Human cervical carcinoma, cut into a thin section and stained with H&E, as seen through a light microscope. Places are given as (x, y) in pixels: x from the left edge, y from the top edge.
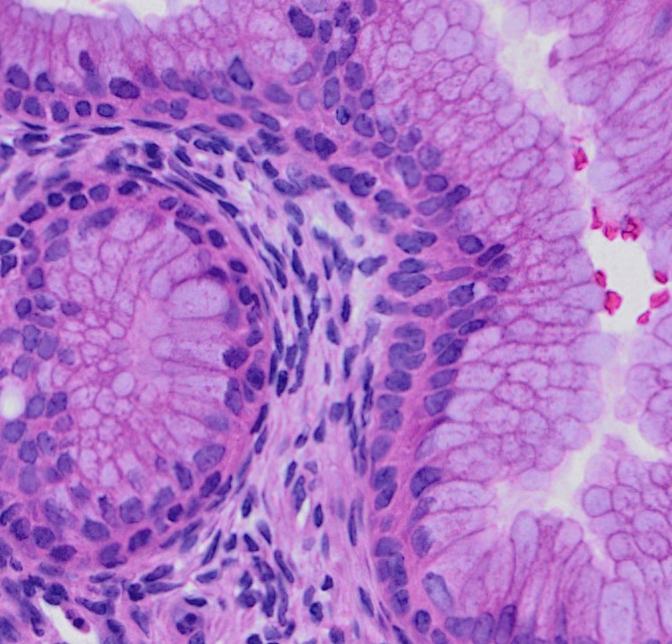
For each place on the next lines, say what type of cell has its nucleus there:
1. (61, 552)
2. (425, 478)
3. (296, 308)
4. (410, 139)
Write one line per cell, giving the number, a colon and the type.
1: secretory epithelial cell
2: secretory epithelial cell
3: fibroblast
4: secretory epithelial cell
